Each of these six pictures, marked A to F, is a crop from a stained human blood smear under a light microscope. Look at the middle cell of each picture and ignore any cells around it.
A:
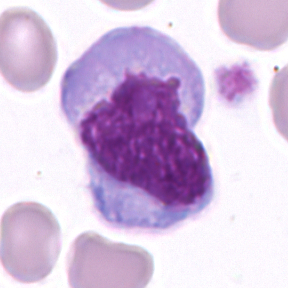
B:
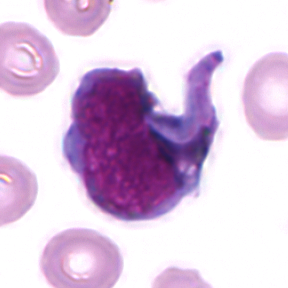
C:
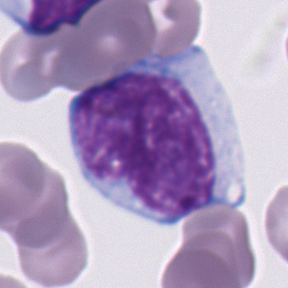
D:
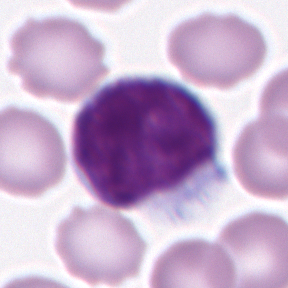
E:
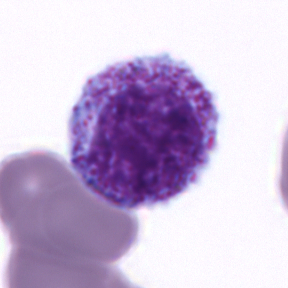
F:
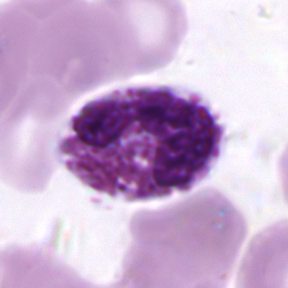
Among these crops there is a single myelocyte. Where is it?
E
